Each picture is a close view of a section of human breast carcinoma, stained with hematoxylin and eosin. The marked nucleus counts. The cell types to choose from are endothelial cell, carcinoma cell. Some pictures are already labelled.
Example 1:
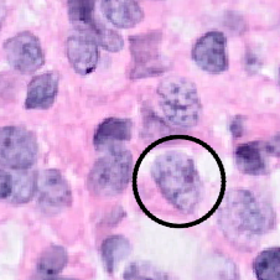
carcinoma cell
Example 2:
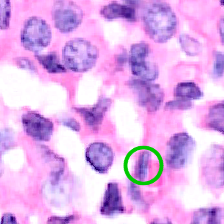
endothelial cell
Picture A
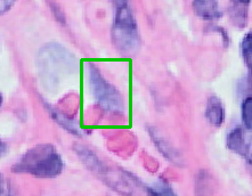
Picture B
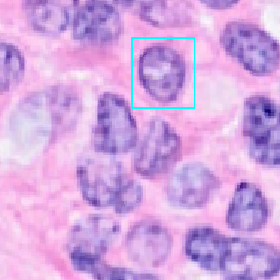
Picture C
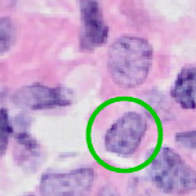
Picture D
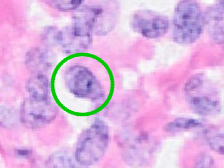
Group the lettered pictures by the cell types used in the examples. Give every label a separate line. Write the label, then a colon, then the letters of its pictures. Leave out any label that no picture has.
endothelial cell: A
carcinoma cell: B, C, D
